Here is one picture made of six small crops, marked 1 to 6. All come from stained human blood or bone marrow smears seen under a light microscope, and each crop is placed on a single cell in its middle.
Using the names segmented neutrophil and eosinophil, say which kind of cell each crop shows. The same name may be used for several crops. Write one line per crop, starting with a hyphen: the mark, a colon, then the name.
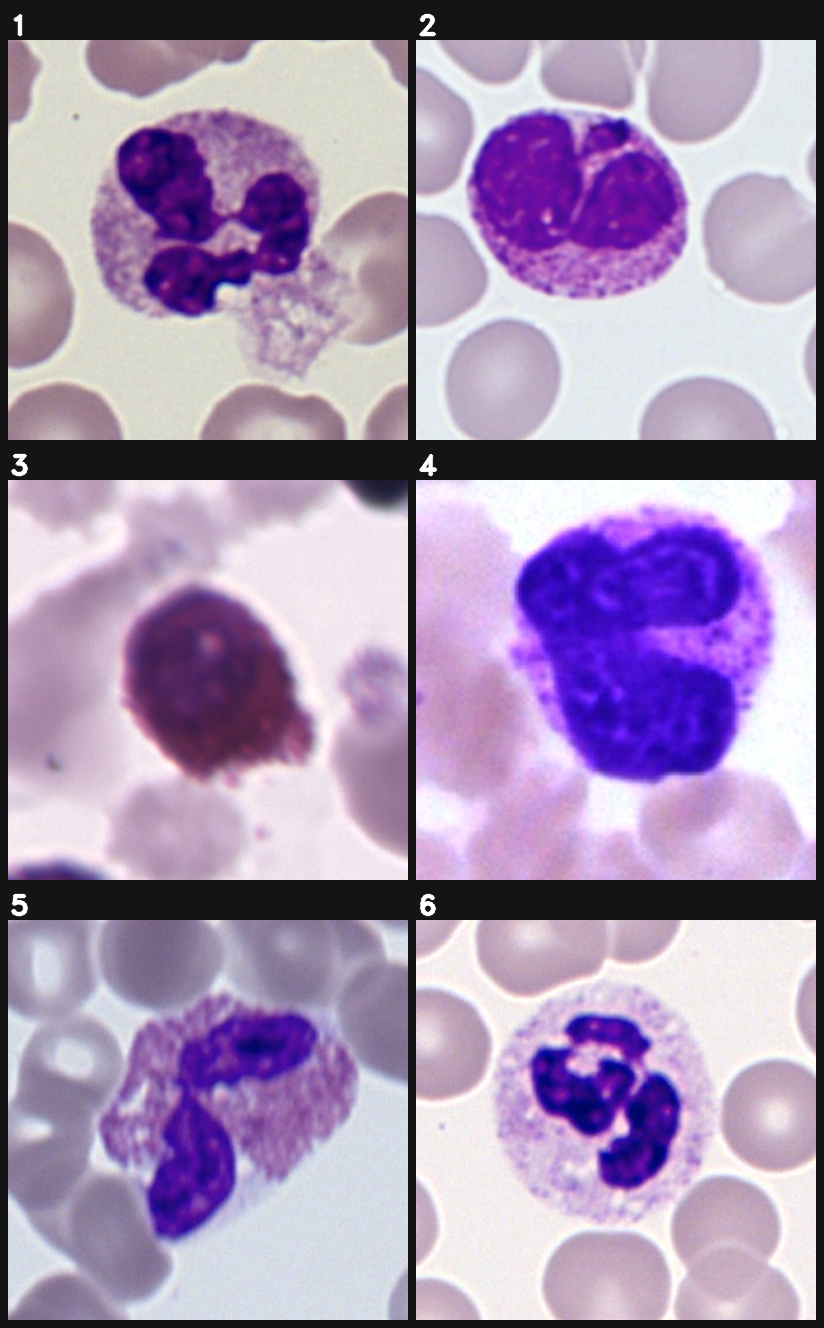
- 1: segmented neutrophil
- 2: eosinophil
- 3: eosinophil
- 4: segmented neutrophil
- 5: eosinophil
- 6: segmented neutrophil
